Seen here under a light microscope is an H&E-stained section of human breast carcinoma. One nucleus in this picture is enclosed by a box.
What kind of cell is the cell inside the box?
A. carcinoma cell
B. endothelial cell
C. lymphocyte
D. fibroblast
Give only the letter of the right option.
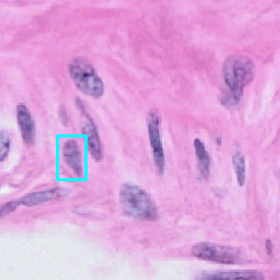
B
